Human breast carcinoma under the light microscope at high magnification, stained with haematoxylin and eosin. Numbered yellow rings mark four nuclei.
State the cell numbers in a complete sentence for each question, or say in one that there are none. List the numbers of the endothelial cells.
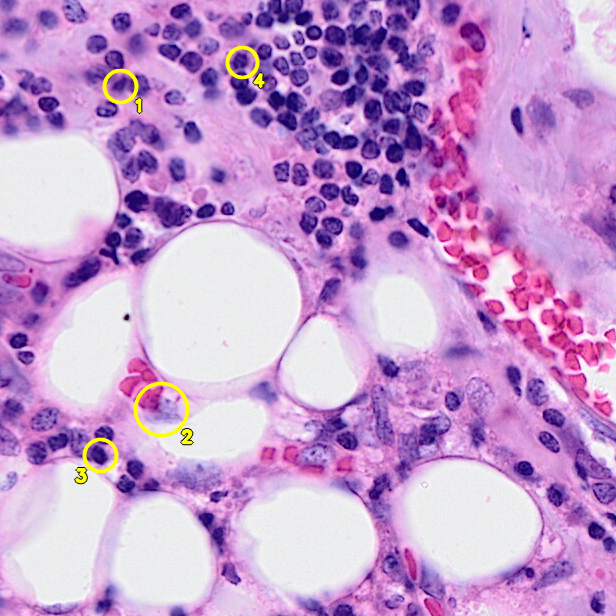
Exactly one numbered cell is an endothelial cell, and that cell is number 2.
